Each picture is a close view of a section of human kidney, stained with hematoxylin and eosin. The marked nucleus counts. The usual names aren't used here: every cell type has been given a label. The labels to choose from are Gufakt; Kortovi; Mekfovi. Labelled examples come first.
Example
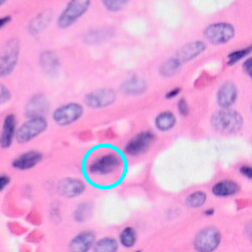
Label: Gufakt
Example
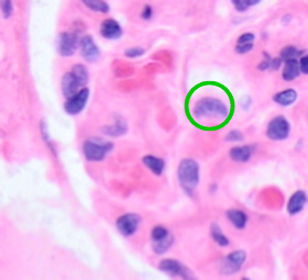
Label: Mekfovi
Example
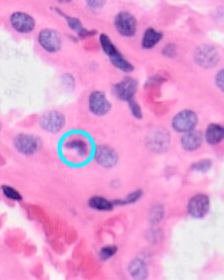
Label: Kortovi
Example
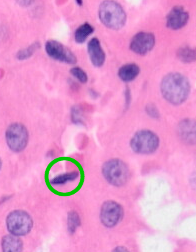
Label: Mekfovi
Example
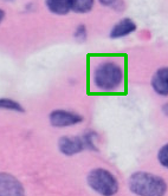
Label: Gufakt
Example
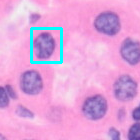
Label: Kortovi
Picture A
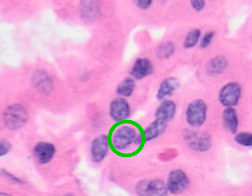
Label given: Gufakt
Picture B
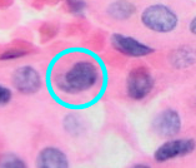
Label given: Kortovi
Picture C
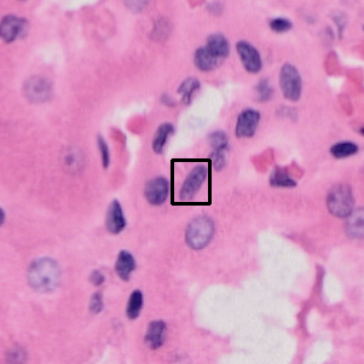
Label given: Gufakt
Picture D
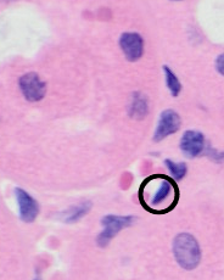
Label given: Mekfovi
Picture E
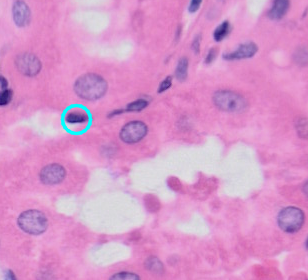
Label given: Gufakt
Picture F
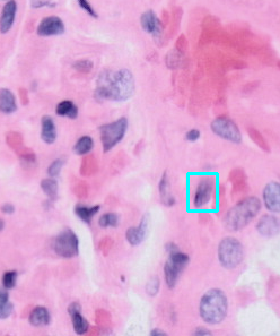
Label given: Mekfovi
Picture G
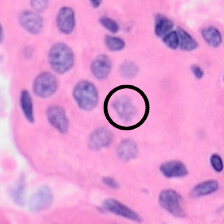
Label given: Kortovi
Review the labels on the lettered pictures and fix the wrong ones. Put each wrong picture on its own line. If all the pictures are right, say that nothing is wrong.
E should be Mekfovi, not Gufakt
